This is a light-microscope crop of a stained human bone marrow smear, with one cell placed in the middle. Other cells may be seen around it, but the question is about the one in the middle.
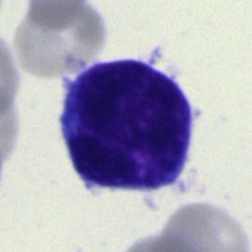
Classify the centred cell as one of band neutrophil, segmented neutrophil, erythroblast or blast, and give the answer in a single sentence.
At the middle of the frame sits a blast.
